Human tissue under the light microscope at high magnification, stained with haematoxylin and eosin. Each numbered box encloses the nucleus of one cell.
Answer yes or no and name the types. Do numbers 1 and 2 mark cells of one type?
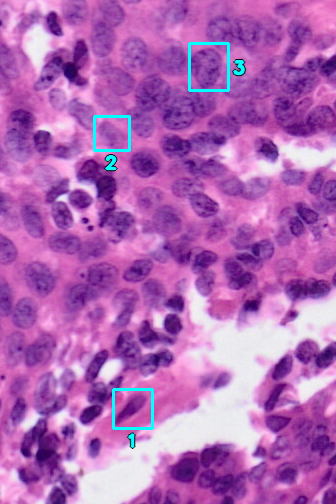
No, that's wrong; cell 1 is an endothelial cell and cell 2 is a carcinoma cell.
